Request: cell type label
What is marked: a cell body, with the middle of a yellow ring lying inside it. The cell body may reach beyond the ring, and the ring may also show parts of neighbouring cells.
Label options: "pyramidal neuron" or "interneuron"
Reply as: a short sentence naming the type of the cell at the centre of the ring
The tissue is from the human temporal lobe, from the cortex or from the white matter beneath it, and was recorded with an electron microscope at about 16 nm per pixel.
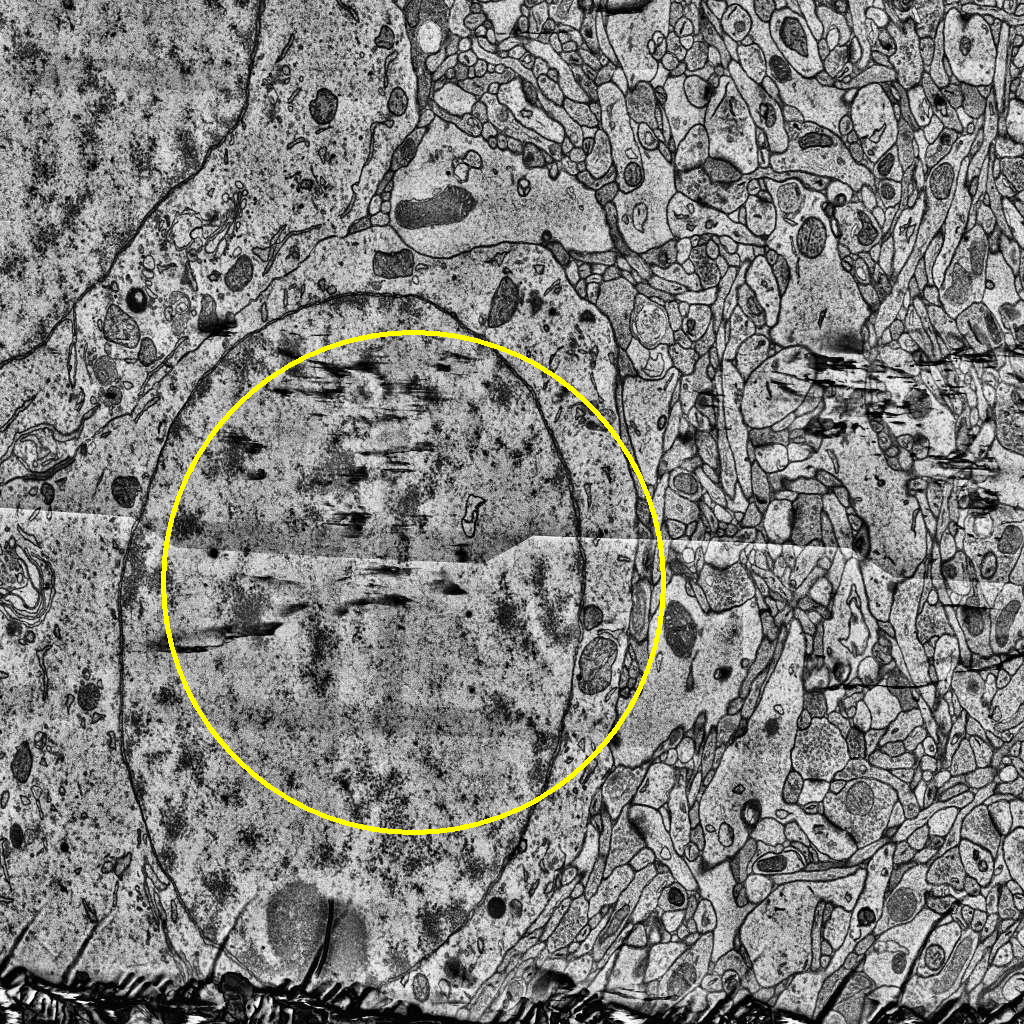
The marked cell body is that of a pyramidal neuron.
